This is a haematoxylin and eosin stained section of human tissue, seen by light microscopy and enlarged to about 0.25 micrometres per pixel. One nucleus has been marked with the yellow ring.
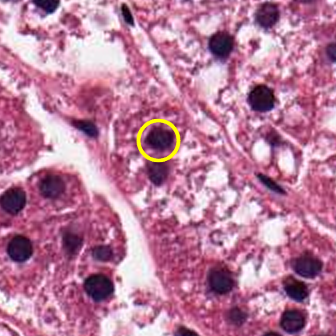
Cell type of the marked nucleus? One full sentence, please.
The cell bearing the marked nucleus is an adrenal cortical cell.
